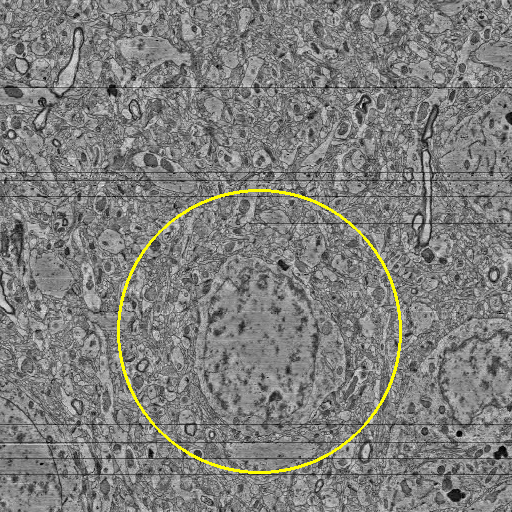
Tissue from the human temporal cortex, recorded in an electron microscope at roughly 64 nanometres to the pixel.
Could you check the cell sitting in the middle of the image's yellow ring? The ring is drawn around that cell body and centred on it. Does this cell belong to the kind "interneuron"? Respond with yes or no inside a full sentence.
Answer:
Yes, this cell in the middle of the yellow ring is one of that kind.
